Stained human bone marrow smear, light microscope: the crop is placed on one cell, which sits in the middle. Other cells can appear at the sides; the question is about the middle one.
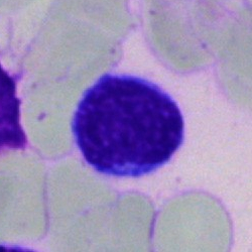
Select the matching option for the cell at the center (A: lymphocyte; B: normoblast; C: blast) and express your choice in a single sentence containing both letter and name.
Option A gets it right: the cell in the middle is a lymphocyte.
